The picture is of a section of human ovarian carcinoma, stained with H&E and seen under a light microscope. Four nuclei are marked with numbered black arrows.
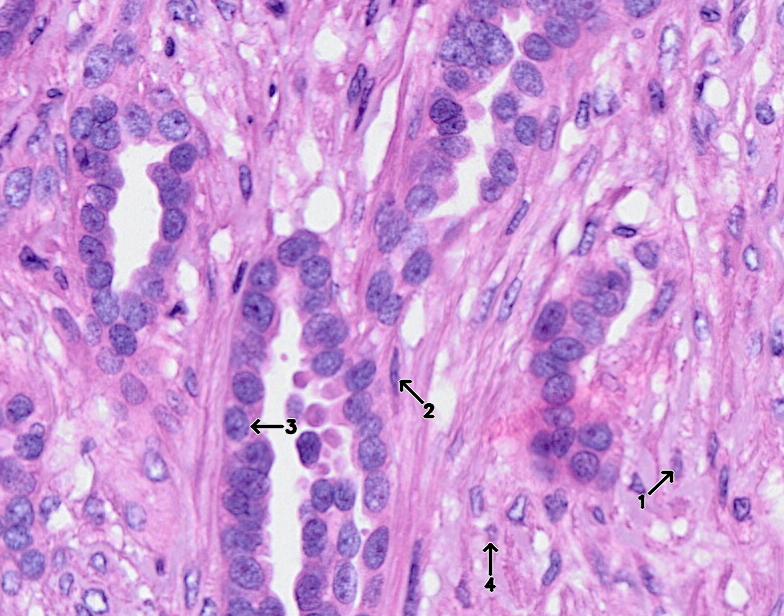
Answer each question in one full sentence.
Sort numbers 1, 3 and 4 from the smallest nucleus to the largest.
From smallest to largest, the order is 4, 1, 3.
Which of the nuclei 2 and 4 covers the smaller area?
The smaller nucleus is 4, and 2 covers roughly 2.5 times its area.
